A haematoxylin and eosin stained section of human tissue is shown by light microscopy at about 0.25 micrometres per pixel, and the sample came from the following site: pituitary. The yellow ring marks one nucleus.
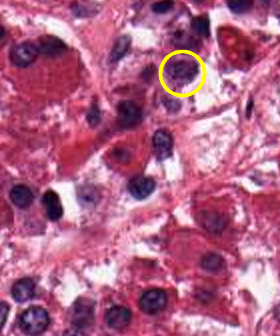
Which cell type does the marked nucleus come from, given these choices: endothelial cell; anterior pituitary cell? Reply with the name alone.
anterior pituitary cell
